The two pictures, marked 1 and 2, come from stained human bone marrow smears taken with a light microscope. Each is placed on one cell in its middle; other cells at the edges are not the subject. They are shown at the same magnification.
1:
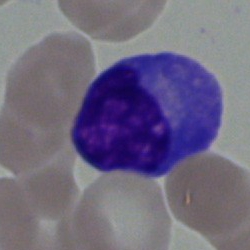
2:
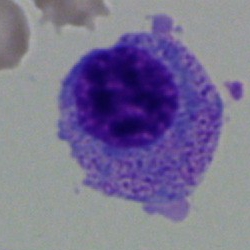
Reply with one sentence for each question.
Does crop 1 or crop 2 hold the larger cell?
Crop 2 holds the larger cell; it covers about 1.5 times the area of the cell in crop 1.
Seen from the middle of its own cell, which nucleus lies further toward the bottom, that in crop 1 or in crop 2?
It is the nucleus in crop 1 that lies further toward the bottom of its cell.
